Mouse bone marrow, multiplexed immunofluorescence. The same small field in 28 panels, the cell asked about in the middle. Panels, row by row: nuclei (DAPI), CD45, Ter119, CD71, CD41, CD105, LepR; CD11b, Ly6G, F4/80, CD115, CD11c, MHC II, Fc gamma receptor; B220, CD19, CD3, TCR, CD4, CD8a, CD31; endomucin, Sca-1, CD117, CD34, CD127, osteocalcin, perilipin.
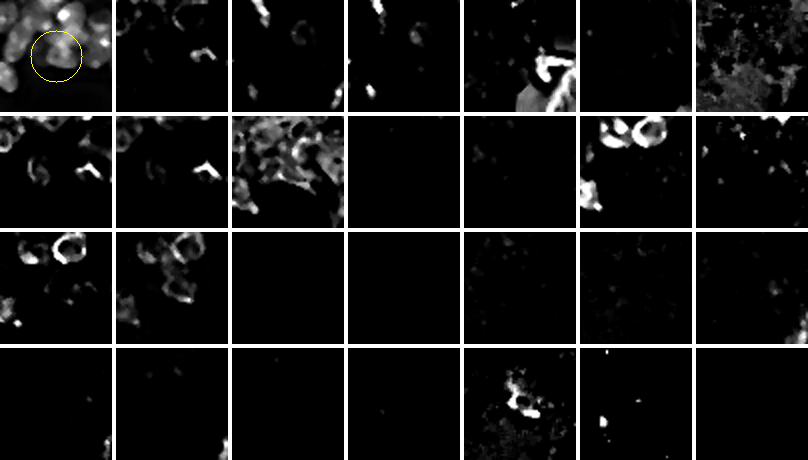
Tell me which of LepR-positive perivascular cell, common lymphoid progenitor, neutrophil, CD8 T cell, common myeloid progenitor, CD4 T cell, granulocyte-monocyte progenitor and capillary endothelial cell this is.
The picture shows a common lymphoid progenitor.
